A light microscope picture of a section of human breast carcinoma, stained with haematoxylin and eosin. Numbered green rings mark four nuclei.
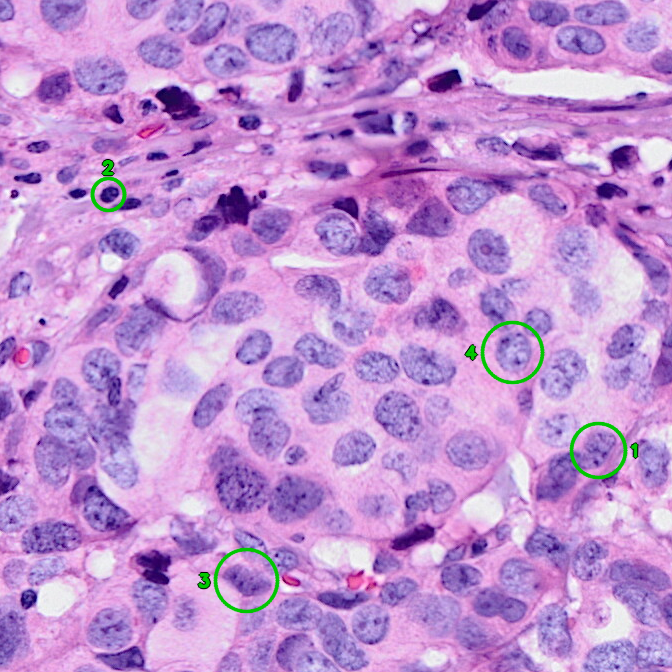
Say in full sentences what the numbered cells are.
Cell 1 is a carcinoma cell, cell 2 is a lymphocyte, cell 3 is a carcinoma cell and cell 4 is a carcinoma cell.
